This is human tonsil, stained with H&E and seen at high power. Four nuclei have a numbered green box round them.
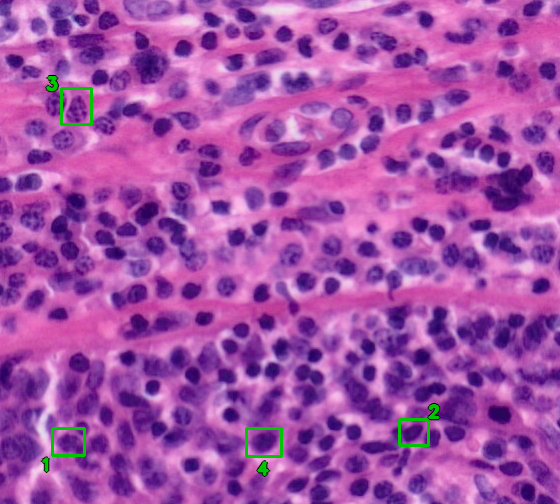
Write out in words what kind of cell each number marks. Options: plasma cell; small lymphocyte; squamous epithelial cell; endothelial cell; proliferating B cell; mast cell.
Cells 1, 2 and 4 are squamous epithelial cells. Cell 3 is a plasma cell.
